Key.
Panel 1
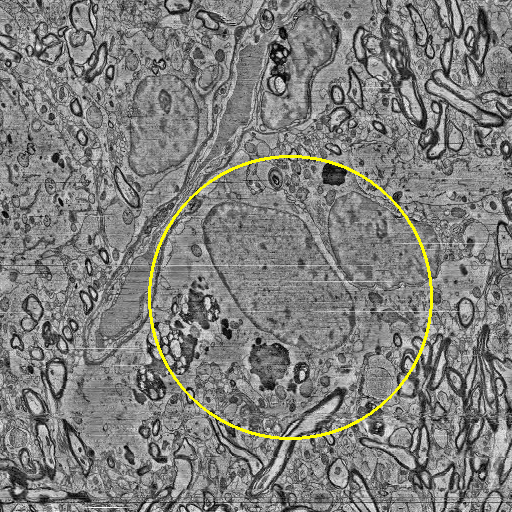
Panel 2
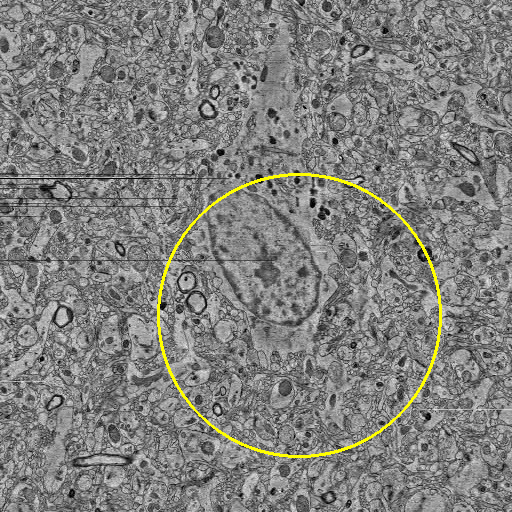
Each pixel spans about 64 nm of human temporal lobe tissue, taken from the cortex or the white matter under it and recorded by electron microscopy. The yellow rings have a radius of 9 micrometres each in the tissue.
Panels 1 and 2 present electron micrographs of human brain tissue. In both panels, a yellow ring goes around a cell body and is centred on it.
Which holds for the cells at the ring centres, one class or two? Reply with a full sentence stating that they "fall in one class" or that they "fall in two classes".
Taken together, the ring-centre cells of the two panels fall in one class.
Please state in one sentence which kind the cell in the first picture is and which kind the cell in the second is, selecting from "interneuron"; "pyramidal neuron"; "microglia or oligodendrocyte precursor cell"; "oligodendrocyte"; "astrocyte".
Each cell at the centre of a ring is a microglial cell or oligodendrocyte precursor cell.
